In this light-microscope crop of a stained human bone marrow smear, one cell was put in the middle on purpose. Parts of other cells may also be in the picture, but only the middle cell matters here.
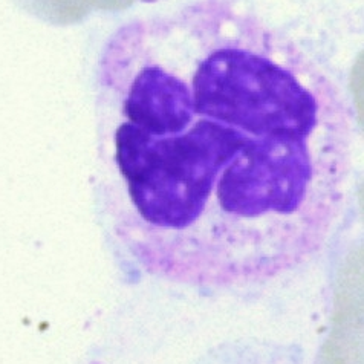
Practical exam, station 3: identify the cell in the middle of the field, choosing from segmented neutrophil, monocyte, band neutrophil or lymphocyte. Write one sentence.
Centred in the crop is a segmented neutrophil.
